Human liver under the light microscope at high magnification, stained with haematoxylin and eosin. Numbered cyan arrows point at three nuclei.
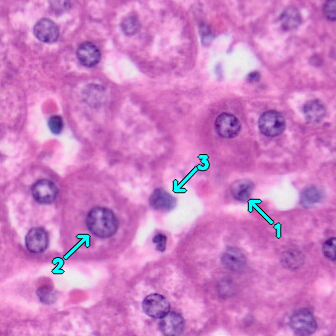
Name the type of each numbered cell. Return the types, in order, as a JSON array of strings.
["Kupffer cell", "hepatocyte", "endothelial cell"]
